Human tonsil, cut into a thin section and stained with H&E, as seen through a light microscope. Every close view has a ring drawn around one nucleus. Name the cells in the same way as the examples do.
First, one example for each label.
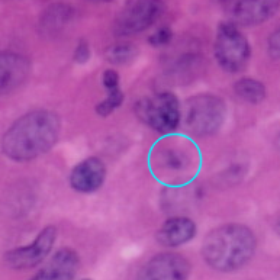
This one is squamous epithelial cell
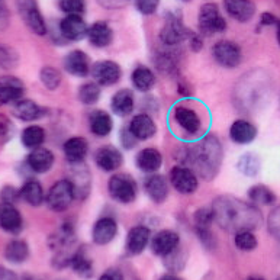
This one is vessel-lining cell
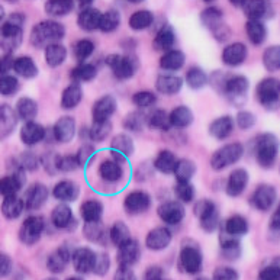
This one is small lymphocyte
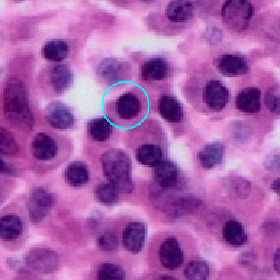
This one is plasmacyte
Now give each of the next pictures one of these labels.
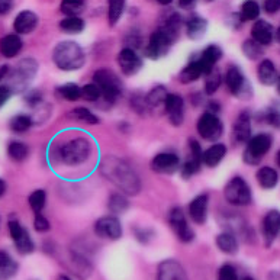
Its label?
vessel-lining cell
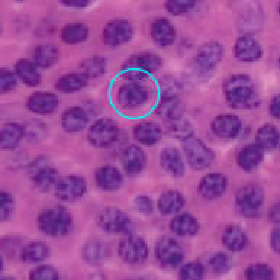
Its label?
plasmacyte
